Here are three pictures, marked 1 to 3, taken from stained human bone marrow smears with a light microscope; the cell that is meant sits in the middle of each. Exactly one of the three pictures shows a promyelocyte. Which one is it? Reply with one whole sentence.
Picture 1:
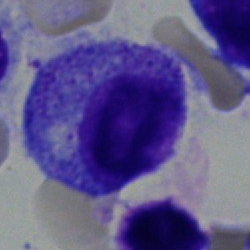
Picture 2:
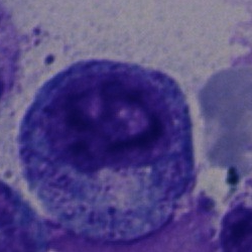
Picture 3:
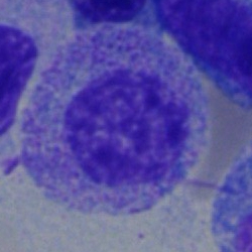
Picture 2 shows the promyelocyte.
